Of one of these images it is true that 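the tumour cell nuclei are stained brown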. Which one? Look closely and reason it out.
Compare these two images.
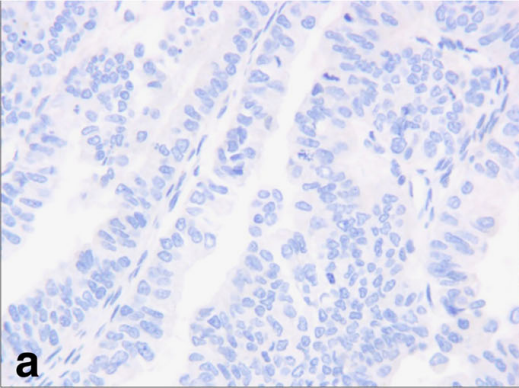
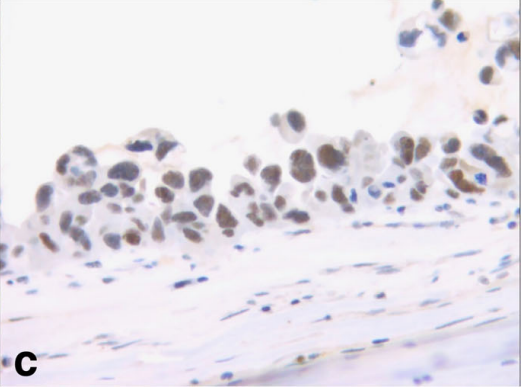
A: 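Second image: the nuclei of the clustered tumour cells are dark brown. First image: all nuclei in the glandular tumour epithelium are blue, with no brown colour. That points to this answer: the second image.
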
